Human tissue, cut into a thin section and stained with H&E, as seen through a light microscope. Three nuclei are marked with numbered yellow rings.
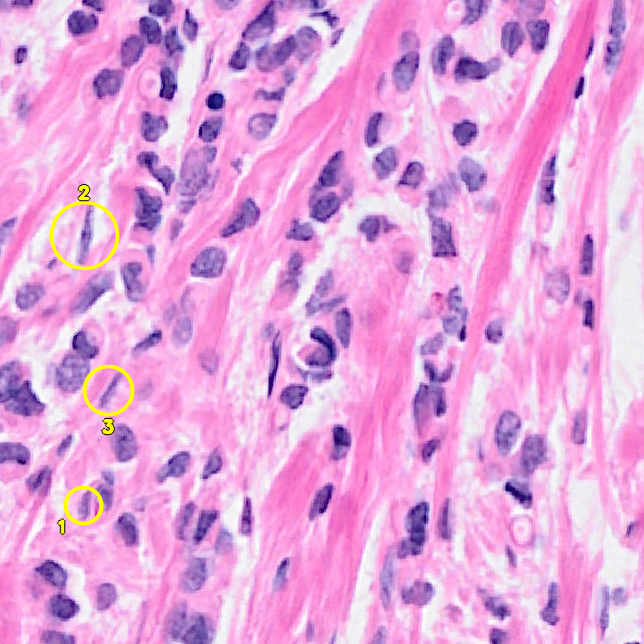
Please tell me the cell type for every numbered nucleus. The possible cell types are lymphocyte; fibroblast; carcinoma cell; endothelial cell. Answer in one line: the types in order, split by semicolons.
endothelial cell; fibroblast; fibroblast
